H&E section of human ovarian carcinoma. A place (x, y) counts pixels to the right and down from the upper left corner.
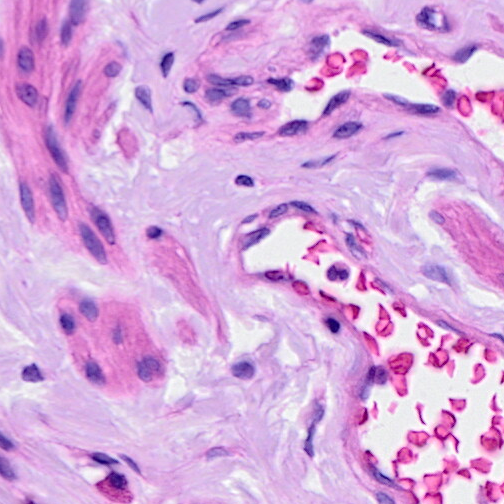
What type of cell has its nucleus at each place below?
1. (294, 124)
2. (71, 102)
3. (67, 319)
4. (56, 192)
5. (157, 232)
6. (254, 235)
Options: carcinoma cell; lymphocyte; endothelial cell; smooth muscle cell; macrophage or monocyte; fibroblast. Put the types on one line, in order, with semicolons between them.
endothelial cell; smooth muscle cell; smooth muscle cell; smooth muscle cell; smooth muscle cell; endothelial cell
